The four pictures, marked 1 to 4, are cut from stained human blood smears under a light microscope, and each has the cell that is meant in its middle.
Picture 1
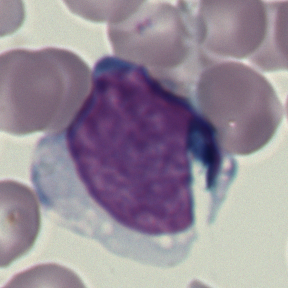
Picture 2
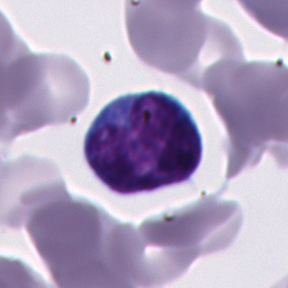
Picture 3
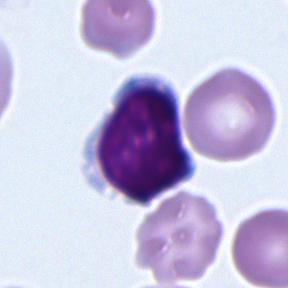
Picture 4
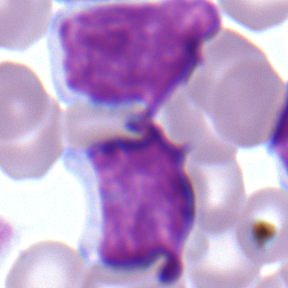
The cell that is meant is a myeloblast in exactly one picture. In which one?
1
